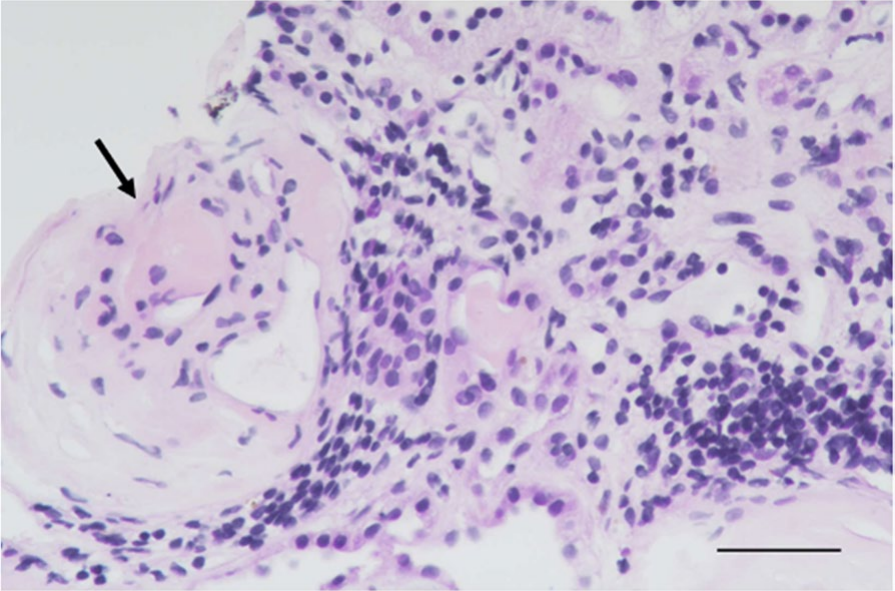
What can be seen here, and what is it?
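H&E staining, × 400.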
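This is kidney cortex with interstitial inflammation beside a globally sclerosed glomerulus. Only scattered nuclei remain within it, and concentric pale layers wrap around its outer edge. The space between the structures is packed with inflammatory cells. Most are small cells with round, dense, dark-purple nuclei and very little cytoplasm, and they form a tight aggregate at the lower right. A few cells have somewhat more cytoplasm. Remnants of tubules with pale pink cytoplasm are scattered among the infiltrate toward the upper right.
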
